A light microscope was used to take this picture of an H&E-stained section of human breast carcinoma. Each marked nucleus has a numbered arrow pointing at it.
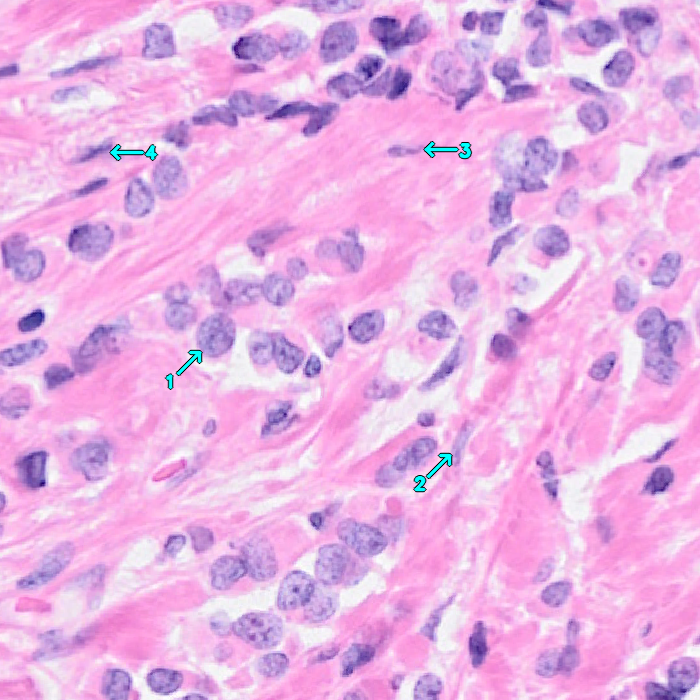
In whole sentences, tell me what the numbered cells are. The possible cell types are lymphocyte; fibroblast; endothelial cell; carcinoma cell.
Cell 1 is a carcinoma cell, cell 2 is a fibroblast, cell 3 is a fibroblast and cell 4 is a fibroblast.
